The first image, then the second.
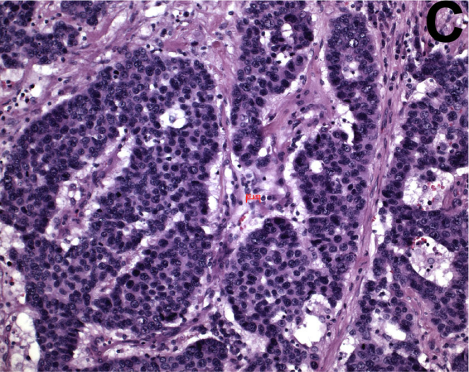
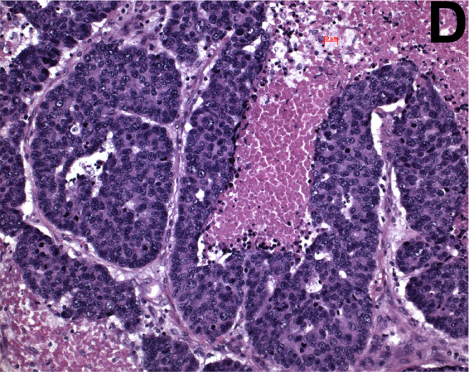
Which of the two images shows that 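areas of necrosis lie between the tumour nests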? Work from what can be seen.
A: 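First image: the nests are separated only by thin fibrous septa with pale spaces, without pink debris. Second image: a broad pink, anucleate granular area fills the space between nests.
The second image.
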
